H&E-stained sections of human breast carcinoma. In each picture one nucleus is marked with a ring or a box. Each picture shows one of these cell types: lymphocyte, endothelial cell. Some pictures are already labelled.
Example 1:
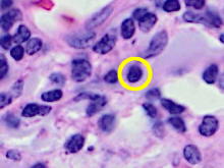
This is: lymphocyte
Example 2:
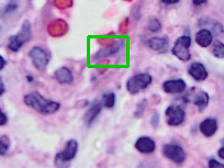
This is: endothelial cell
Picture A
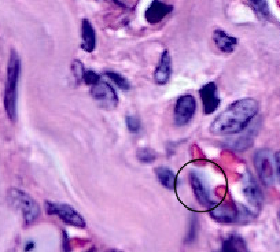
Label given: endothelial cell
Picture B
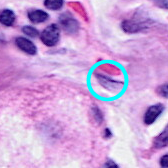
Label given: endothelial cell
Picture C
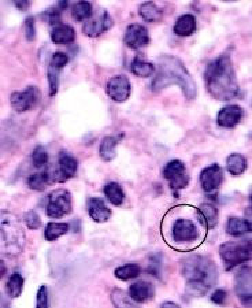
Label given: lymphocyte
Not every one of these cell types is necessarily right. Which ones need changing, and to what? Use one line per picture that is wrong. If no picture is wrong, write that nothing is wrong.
No label is wrong.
